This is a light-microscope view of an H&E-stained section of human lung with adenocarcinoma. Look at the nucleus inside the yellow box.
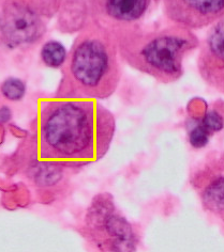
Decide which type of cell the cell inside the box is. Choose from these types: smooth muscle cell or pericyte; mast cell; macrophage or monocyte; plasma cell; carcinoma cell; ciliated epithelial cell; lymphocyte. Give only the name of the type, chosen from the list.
carcinoma cell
